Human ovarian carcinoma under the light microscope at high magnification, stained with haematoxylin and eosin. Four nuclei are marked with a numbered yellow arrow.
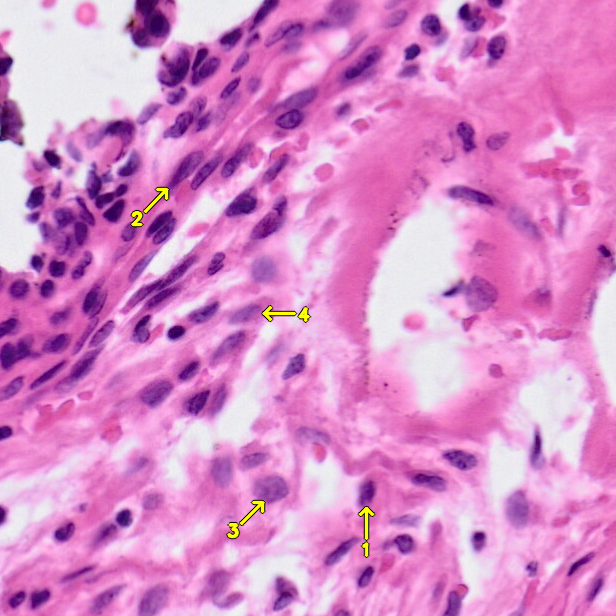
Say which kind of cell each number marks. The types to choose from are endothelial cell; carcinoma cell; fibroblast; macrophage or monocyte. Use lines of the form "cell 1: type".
cell 1: fibroblast
cell 2: endothelial cell
cell 3: fibroblast
cell 4: fibroblast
